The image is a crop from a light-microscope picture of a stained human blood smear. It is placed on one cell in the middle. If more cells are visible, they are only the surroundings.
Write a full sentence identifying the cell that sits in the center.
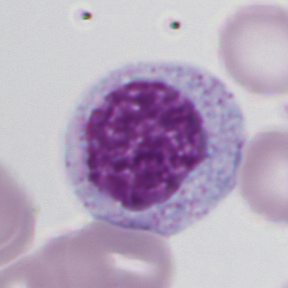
By classification, the middle cell of this crop is a myelocyte.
